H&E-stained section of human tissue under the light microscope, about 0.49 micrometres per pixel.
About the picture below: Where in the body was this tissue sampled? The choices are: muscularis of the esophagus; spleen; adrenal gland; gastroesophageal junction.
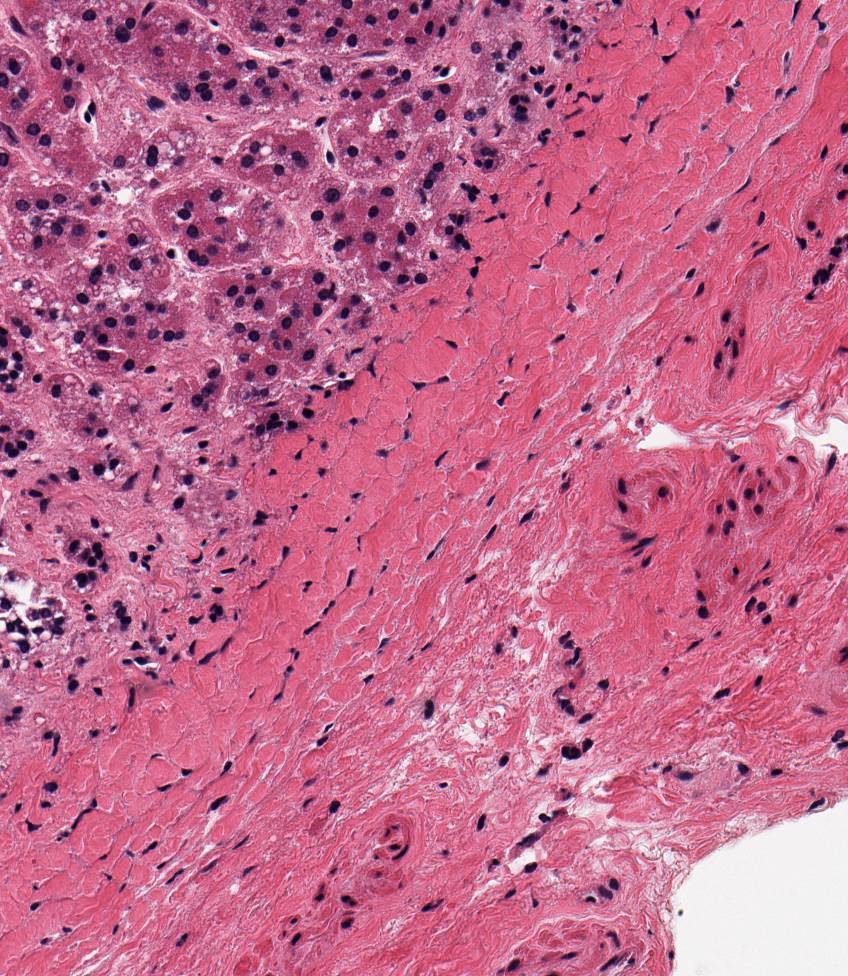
adrenal gland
